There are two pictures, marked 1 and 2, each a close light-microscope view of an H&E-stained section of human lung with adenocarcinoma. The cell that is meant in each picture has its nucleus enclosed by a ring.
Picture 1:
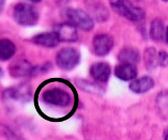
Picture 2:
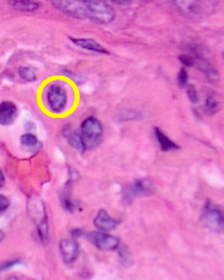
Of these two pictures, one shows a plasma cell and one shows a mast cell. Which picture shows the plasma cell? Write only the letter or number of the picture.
1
